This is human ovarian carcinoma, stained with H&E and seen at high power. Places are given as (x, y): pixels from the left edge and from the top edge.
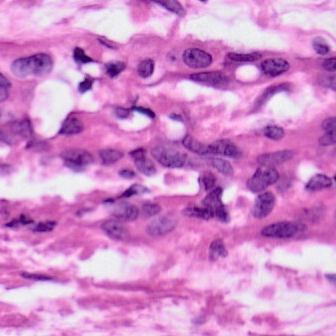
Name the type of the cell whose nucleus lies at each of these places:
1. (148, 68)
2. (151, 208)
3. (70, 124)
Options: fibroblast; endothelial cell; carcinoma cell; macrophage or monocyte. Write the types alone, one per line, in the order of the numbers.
macrophage or monocyte
carcinoma cell
carcinoma cell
